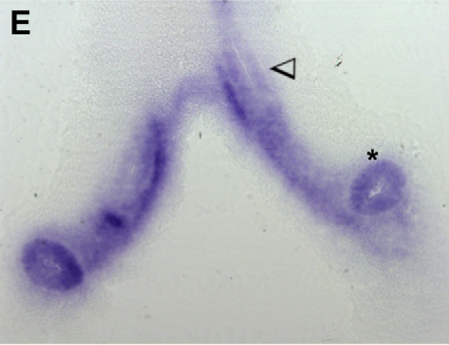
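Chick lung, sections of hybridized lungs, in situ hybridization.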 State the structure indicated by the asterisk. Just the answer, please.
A: Secondary bronchi.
